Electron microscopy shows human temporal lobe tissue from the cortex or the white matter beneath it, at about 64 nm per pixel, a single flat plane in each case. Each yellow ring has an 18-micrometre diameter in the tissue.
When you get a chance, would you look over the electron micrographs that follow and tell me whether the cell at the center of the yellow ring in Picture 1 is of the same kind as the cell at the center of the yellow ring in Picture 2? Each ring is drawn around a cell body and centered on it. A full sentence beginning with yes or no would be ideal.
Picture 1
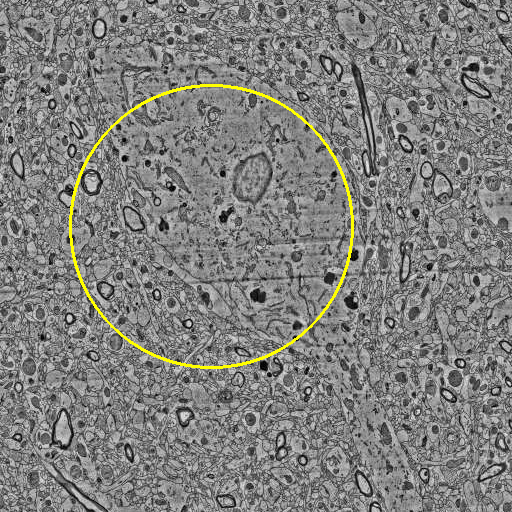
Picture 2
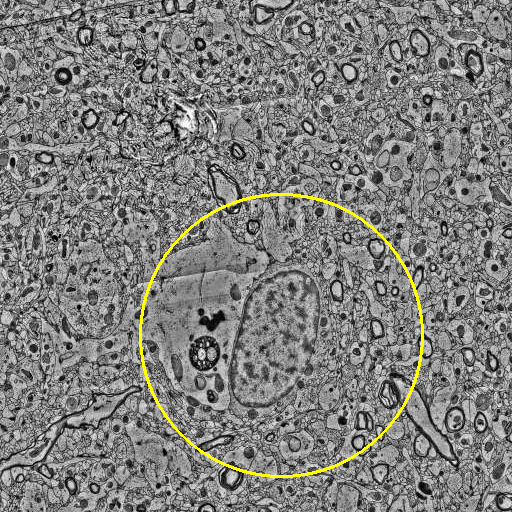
Yes, the two cells are of the same kind.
